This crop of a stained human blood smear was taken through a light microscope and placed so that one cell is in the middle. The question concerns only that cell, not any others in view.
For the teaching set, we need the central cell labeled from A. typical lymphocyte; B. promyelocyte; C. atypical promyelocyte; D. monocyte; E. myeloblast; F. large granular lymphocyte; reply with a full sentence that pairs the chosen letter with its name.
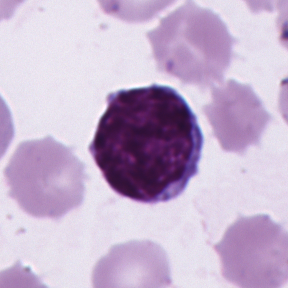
Option E stands as correct, the central cell being a myeloblast.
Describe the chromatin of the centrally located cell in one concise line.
Here the nuclear chromatin is coarsely clumped.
